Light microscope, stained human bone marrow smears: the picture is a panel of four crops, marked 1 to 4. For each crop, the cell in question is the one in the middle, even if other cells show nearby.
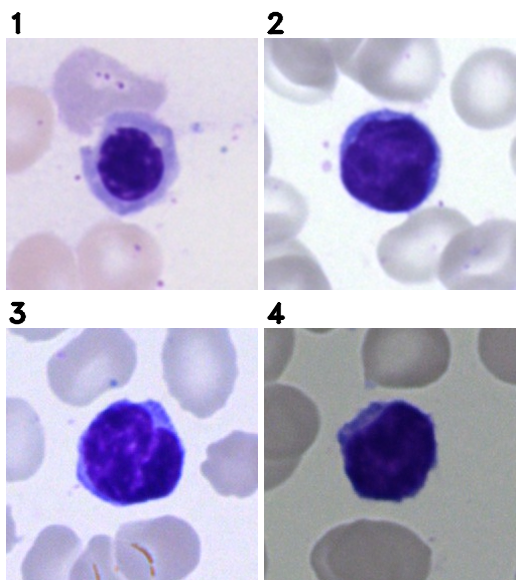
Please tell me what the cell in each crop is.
1: erythroblast
2: lymphocyte
3: lymphocyte
4: lymphocyte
